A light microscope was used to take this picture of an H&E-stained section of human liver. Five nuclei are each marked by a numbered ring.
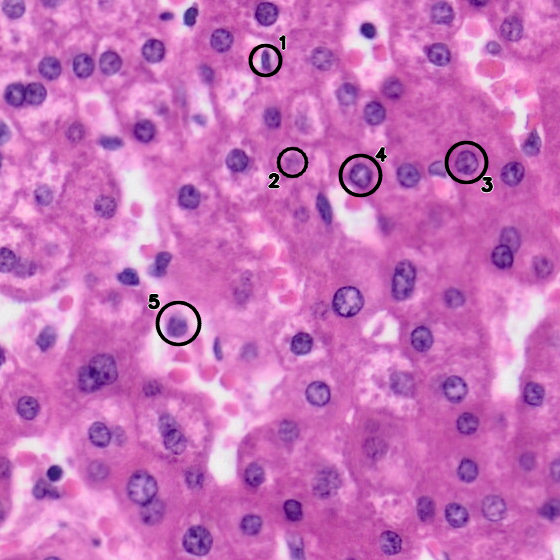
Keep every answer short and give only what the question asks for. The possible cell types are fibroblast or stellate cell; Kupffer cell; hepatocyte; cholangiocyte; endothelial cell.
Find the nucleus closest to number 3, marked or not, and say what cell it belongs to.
endothelial cell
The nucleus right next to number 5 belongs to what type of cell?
fibroblast or stellate cell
